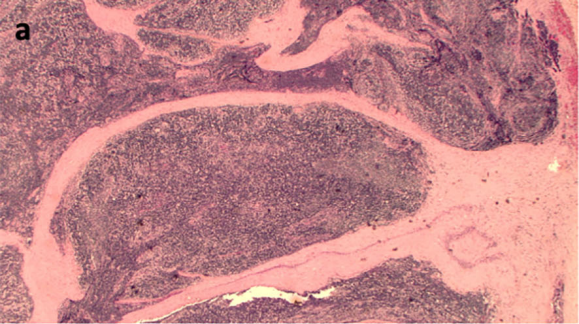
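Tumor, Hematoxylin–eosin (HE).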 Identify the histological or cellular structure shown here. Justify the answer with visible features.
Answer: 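Broad pale pink bands of fibrous tissue run between the cellular areas. The bands divide the densely cellular tissue into separate lobules. The answer: fibrous septa.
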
